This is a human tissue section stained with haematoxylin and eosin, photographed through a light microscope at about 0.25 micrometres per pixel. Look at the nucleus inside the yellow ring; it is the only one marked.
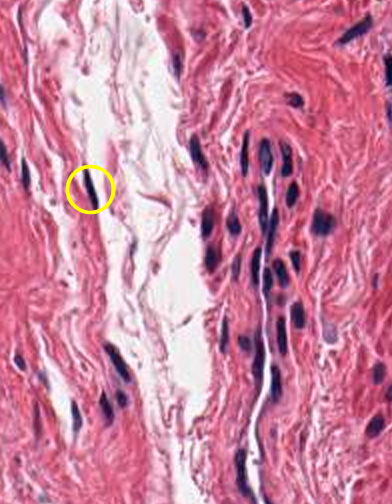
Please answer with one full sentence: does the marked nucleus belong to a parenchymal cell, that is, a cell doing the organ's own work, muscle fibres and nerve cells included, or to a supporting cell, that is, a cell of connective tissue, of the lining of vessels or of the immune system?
The marked nucleus belongs to a supporting cell.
